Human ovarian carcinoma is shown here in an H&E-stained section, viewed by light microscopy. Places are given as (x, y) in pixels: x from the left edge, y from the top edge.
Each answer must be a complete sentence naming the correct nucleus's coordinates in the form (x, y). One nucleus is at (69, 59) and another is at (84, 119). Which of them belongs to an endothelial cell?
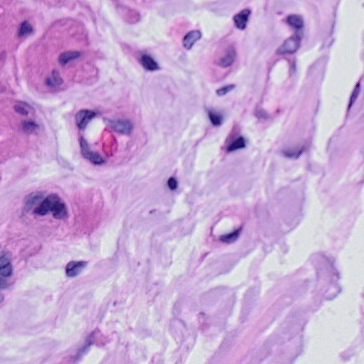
The nucleus of the pair that lies within an endothelial cell is at (84, 119).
